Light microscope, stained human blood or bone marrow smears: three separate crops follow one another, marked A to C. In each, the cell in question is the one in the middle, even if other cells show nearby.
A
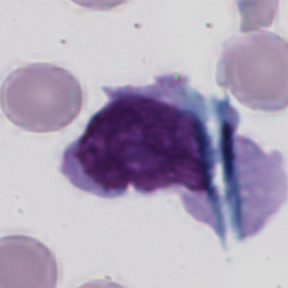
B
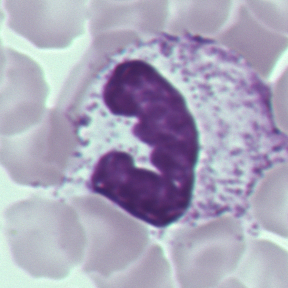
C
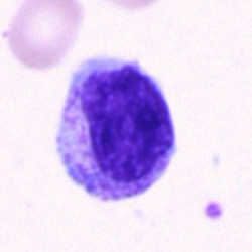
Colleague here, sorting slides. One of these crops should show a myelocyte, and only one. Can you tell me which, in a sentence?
Look at crop C; that is the one with a myelocyte in its center.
